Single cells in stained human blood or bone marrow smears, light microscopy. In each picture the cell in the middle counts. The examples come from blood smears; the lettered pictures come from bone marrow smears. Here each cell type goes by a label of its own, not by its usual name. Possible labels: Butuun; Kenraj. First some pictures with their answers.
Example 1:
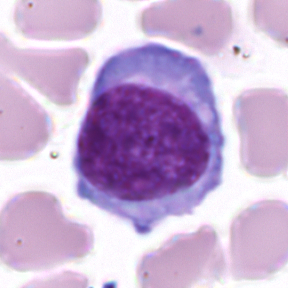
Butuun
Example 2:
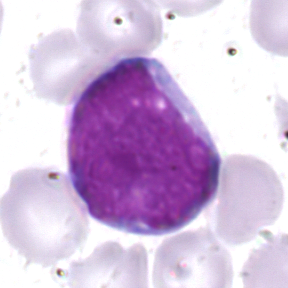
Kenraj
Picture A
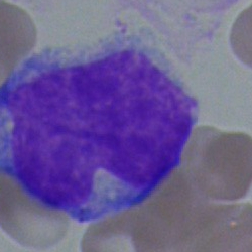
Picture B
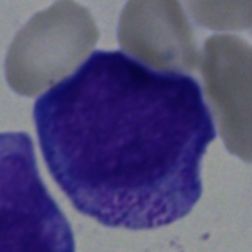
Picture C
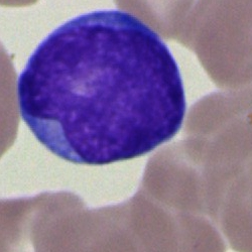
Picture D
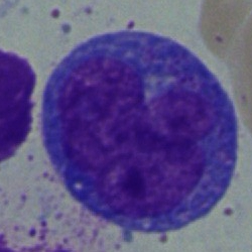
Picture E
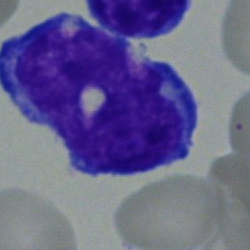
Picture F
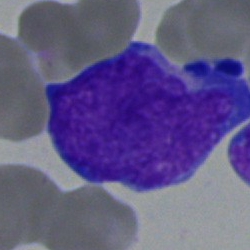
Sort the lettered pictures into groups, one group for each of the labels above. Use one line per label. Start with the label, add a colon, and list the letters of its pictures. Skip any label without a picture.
Kenraj: A, B, C, D, E, F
